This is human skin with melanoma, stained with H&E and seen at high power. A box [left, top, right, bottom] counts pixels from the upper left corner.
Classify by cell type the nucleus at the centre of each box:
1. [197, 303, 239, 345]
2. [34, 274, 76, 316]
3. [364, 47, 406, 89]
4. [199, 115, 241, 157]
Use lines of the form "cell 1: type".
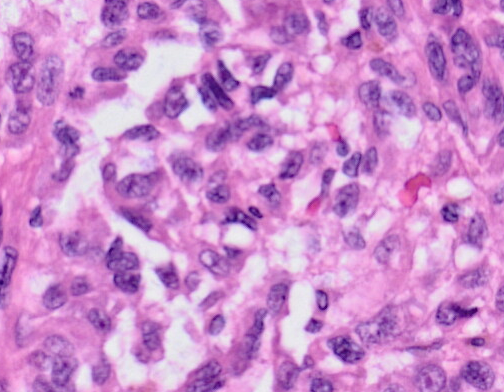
cell 1: macrophage or monocyte
cell 2: melanoma cell
cell 3: melanoma cell
cell 4: melanoma cell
